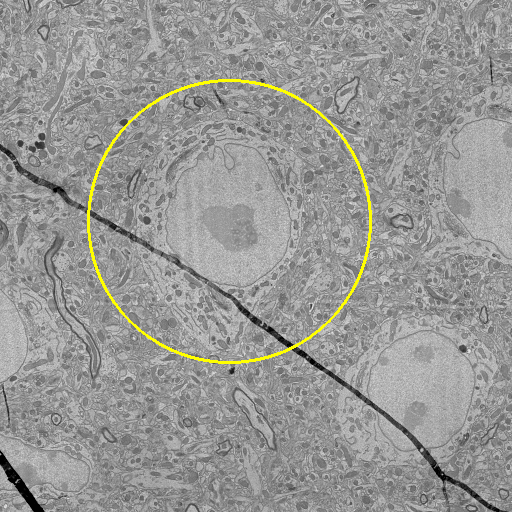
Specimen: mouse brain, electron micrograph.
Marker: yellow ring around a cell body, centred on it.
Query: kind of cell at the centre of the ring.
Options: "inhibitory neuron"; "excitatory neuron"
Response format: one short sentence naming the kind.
This cell body belongs to an inhibitory neuron.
